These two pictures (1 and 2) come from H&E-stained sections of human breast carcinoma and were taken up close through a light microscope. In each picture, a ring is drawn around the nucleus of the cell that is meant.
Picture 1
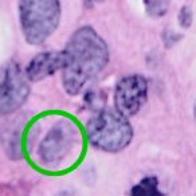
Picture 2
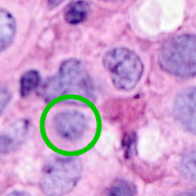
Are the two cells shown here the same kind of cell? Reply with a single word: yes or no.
yes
